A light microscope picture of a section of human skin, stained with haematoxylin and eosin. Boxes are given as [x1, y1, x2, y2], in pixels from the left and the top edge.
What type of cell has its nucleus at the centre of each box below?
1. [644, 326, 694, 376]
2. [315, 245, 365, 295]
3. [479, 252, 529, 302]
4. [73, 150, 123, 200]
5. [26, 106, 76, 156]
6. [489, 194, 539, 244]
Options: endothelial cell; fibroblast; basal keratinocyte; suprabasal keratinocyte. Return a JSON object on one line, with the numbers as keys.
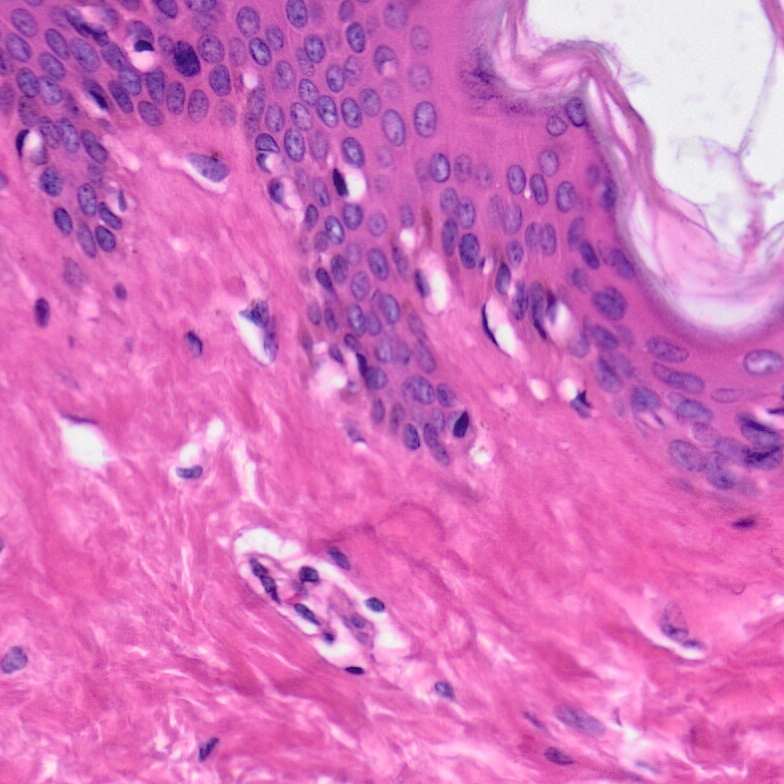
{"1": "suprabasal keratinocyte", "2": "basal keratinocyte", "3": "basal keratinocyte", "4": "basal keratinocyte", "5": "basal keratinocyte", "6": "suprabasal keratinocyte"}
